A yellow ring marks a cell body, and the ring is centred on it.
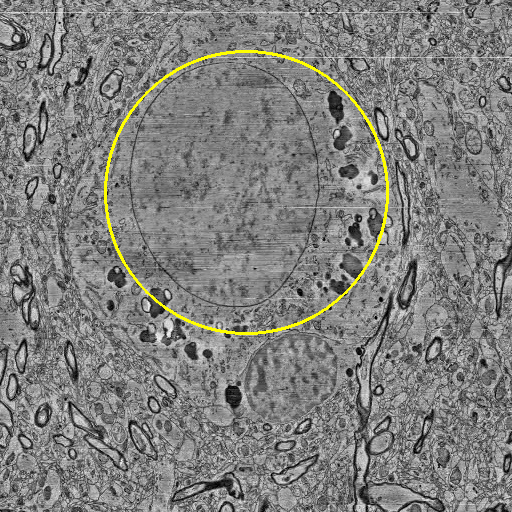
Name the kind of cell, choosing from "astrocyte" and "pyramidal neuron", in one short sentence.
The marked cell body belongs to a pyramidal neuron.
